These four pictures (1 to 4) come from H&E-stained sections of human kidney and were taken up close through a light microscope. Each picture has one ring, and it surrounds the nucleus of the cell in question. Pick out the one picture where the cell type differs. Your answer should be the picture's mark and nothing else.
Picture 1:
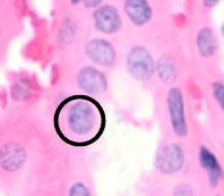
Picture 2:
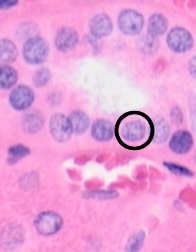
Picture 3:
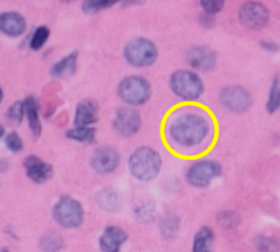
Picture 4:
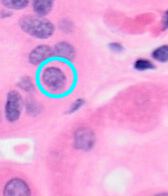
3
